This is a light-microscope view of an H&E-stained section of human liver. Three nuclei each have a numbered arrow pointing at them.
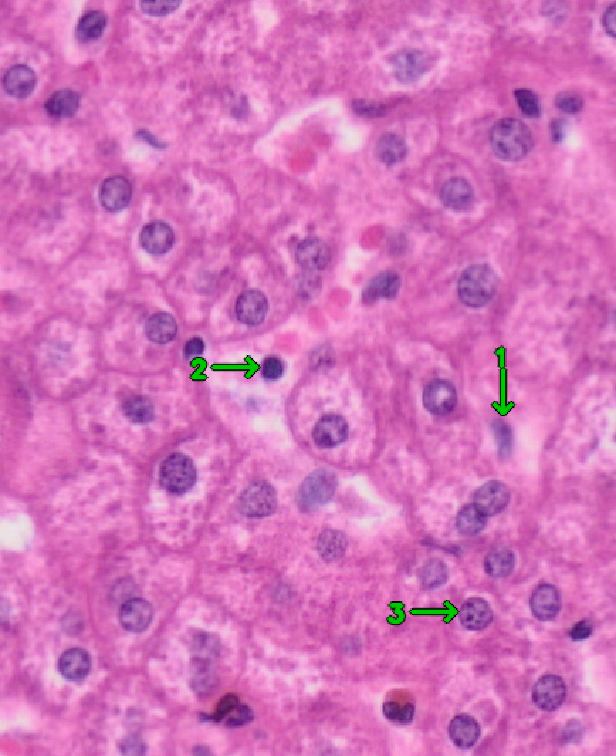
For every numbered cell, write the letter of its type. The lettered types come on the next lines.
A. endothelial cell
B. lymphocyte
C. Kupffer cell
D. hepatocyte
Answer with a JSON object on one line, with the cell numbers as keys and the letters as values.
{"1": "C", "2": "B", "3": "D"}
